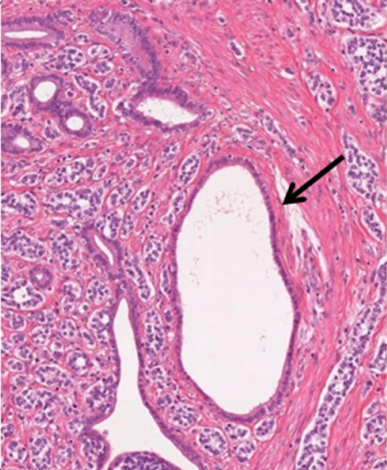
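Tumor tissue made of mostly uniform cells arranged in a nesting pattern, each nest separated from the next by thin bands of pink fibrous stroma. A few small nests form tiny gland-like openings. At the top edge lie a few normal ducts with tall columnar lining.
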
